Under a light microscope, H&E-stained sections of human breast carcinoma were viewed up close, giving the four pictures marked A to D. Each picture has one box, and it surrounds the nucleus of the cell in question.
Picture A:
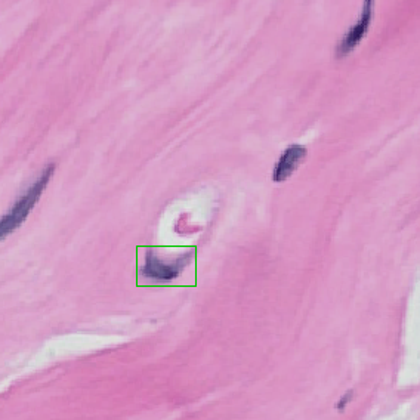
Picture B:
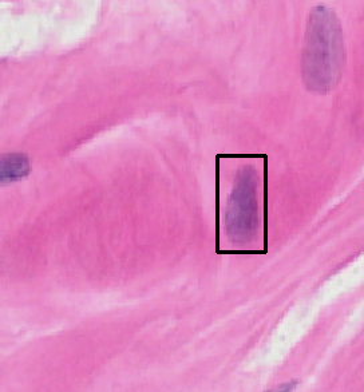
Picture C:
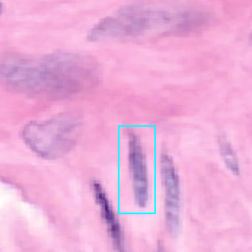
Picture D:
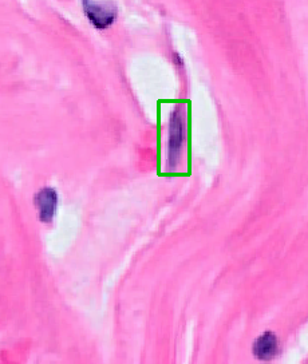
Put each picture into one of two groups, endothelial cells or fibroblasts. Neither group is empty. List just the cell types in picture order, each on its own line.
endothelial cell
fibroblast
endothelial cell
endothelial cell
